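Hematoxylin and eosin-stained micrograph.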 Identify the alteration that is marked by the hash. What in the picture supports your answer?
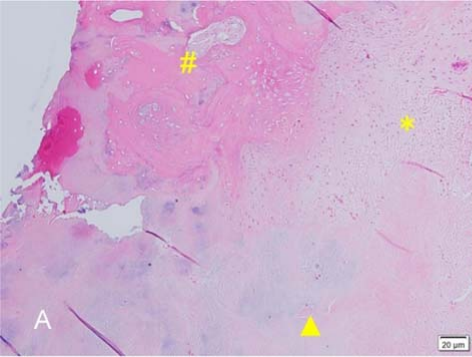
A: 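The hash sits in a dense, strongly pink matrix. Small cells lie in scattered spaces within this pink matrix. The pink matrix contrasts with the paler, bluish-tinged tissue below it.
Area of ossification.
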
